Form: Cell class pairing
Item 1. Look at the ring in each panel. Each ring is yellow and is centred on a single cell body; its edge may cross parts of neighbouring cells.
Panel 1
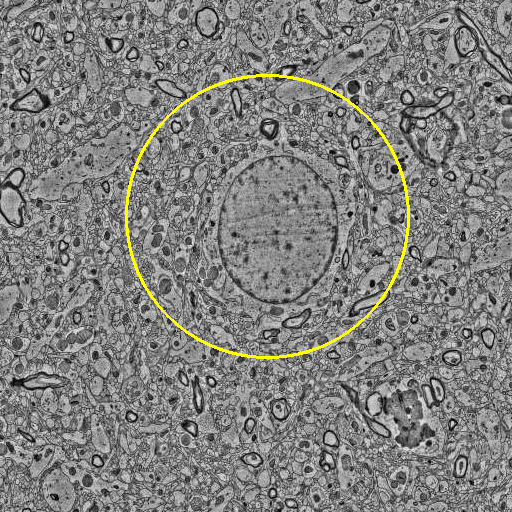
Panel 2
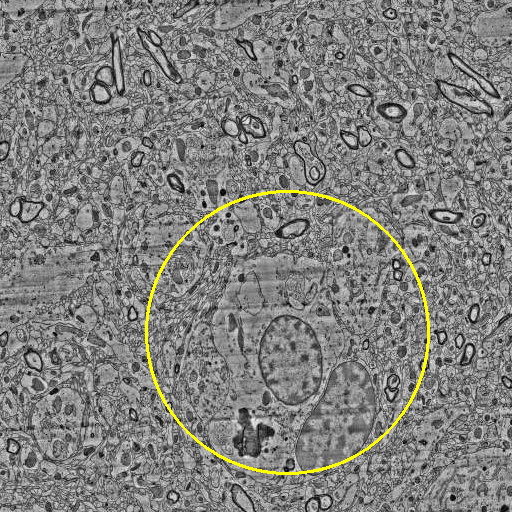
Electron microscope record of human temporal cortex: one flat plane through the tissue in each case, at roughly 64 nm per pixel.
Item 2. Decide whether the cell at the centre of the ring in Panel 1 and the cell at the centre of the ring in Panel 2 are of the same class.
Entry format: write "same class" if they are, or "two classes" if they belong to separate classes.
same class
